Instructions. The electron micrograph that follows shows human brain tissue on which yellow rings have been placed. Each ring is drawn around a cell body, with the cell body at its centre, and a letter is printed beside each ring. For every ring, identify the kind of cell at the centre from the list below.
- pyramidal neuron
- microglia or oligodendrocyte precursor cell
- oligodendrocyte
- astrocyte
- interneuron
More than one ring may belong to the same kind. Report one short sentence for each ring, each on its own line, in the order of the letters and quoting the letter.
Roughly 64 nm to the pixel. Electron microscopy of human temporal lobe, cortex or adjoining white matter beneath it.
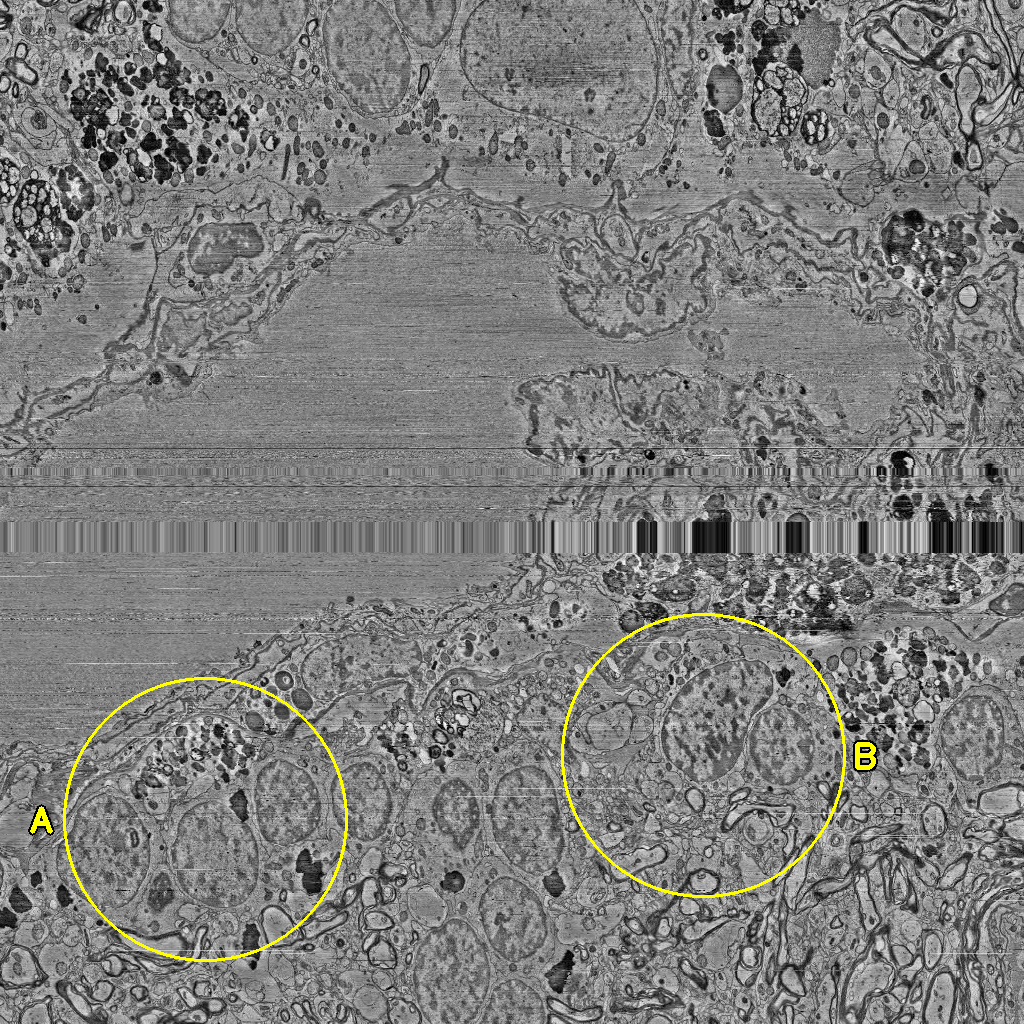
The centre of ring A is occupied by an oligodendrocyte.
The centre of ring B is occupied by a microglial cell or oligodendrocyte precursor cell.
